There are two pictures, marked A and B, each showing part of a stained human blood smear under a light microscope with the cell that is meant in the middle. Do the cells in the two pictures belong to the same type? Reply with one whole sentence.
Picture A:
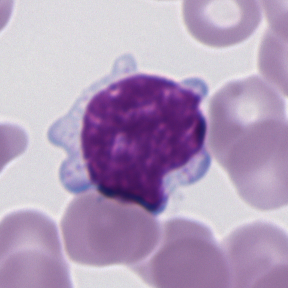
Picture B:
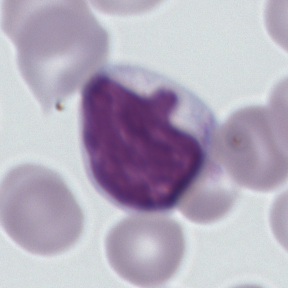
Yes, both cells are large granular lymphocytes.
